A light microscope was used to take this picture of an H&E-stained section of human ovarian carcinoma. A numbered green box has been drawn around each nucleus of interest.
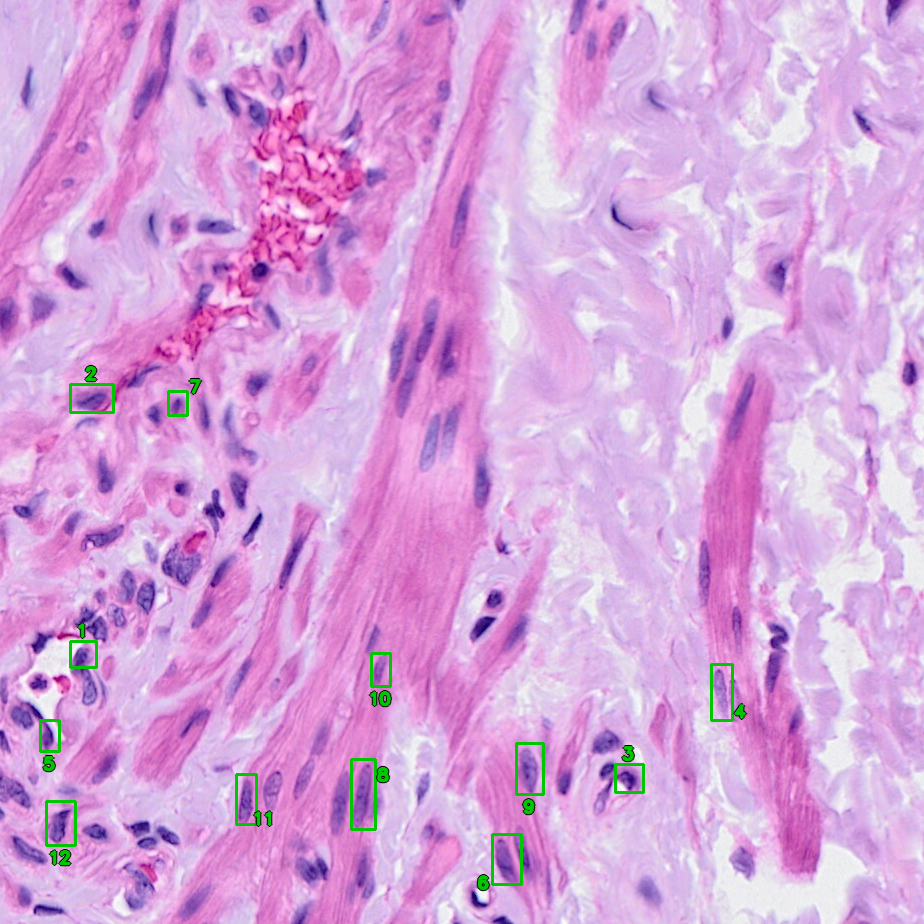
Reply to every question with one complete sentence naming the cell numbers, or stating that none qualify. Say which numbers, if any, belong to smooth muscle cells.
The cells labelled 4, 6, 7, 8, 9, 10 and 11 in this section are smooth muscle cells.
